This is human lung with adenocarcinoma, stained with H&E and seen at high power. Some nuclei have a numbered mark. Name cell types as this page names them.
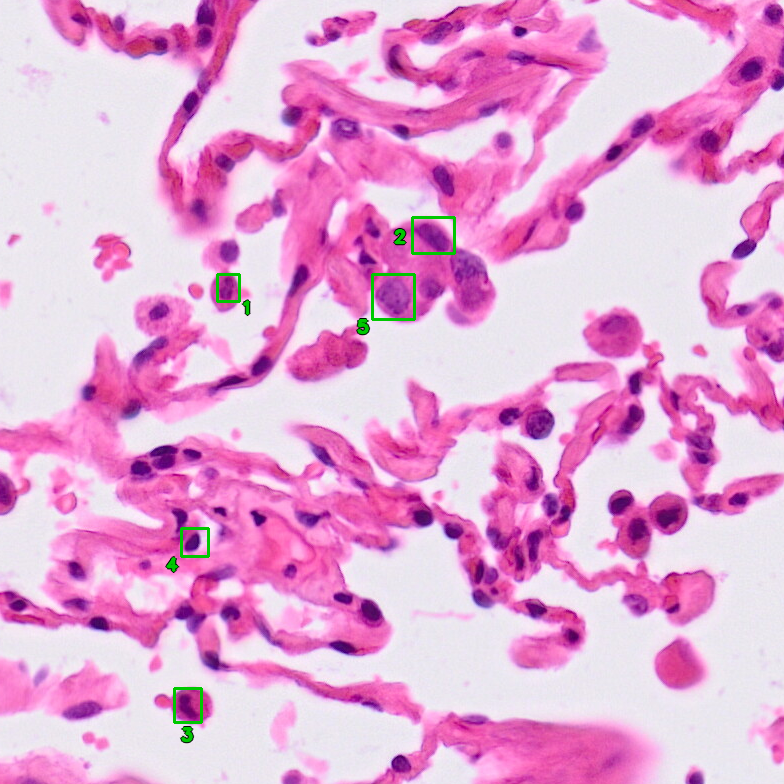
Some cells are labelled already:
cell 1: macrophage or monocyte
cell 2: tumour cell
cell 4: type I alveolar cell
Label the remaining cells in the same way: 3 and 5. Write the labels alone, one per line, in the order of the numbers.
macrophage or monocyte
tumour cell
